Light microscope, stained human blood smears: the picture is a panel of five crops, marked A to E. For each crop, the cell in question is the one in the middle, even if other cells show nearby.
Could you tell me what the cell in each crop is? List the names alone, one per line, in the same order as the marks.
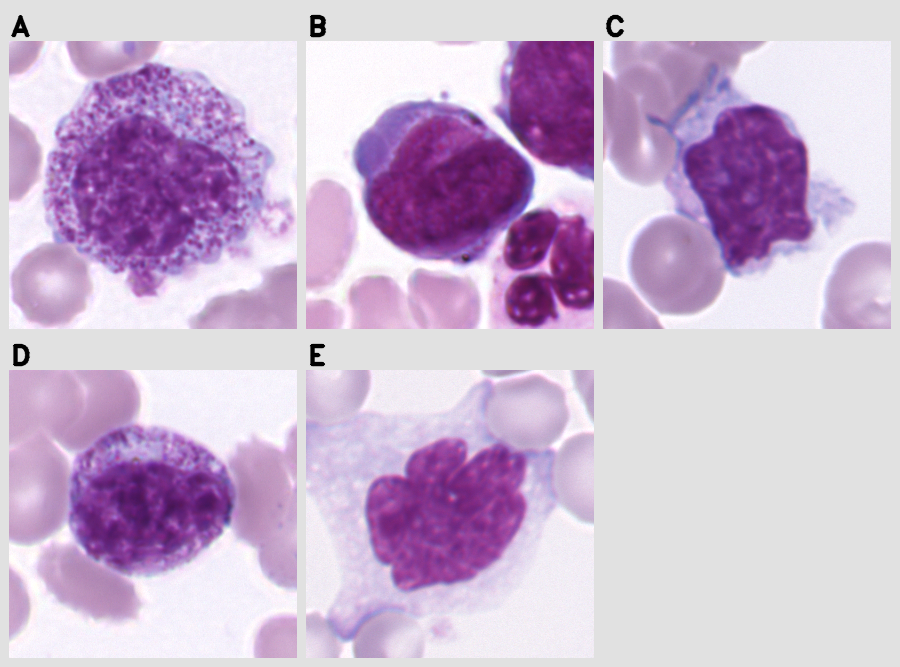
promyelocyte
atypical promyelocyte
hairy cell
myelocyte
monocyte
